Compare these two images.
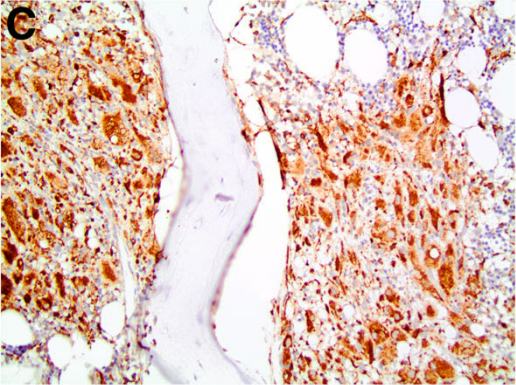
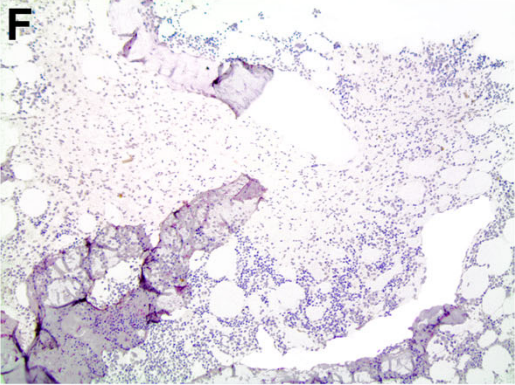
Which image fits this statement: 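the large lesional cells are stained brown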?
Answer: The first image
